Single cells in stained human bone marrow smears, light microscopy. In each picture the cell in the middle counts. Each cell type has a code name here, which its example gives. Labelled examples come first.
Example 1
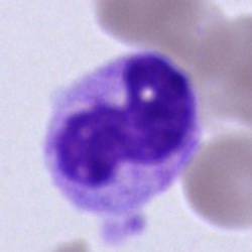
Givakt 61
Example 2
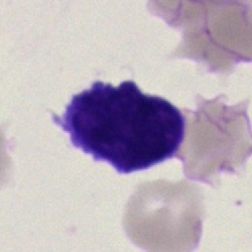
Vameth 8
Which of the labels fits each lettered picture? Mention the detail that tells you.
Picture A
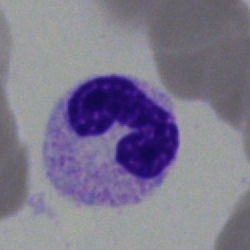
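Label: Givakt 61. The cytoplasm is plentiful and pale lilac.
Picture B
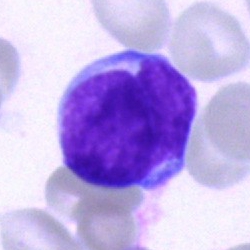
Label: Vameth 8. The nucleus fills most of the cell.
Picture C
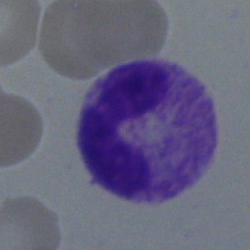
Label: Givakt 61. The nucleus is curved into a C shape that opens towards the right.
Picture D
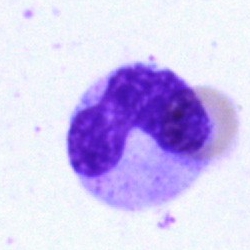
Label: Givakt 61. The nucleus is a thick curved band shaped like a horseshoe, with its concave side facing downward.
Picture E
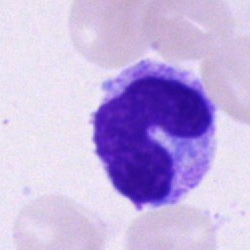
Label: Givakt 61. The nucleus is curved like a horseshoe, with a deep indentation opening toward the right.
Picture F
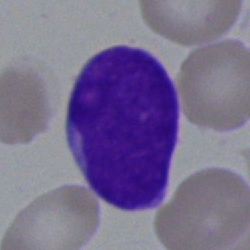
Label: Vameth 8. The nucleus fills almost the whole cell.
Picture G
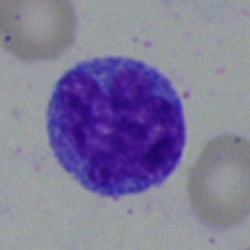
Label: Vameth 8. The nucleus fills most of the cell.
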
